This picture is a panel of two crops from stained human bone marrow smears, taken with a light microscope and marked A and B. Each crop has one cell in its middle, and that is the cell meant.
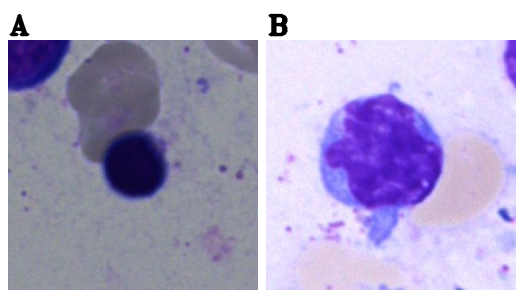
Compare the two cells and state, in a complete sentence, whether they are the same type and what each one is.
No, crop A is of a normoblast, and crop B is of a lymphocyte.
